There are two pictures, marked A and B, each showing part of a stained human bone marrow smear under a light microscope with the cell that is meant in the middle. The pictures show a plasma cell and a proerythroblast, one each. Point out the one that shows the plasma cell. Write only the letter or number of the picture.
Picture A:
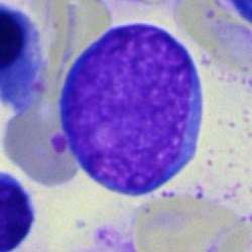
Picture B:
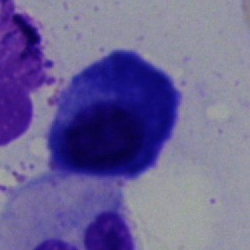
B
